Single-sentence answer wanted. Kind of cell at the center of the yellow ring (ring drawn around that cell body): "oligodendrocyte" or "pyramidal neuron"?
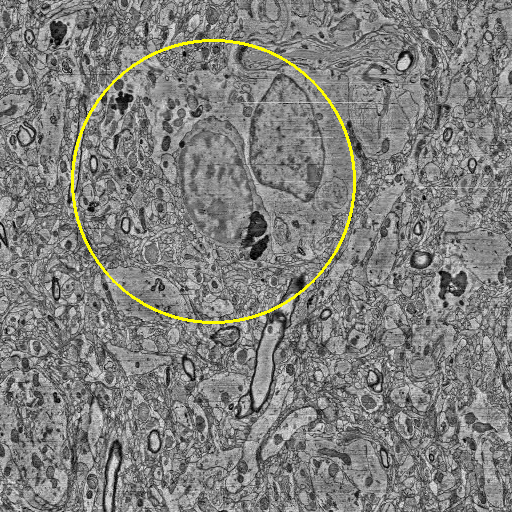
The cell centered in the ring is an oligodendrocyte.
